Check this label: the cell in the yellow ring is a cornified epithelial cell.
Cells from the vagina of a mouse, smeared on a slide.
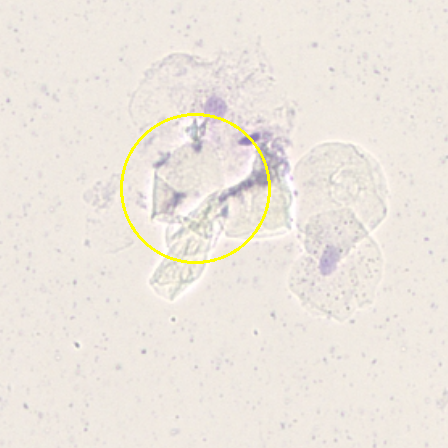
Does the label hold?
The label holds; the cell is a cornified epithelial cell.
